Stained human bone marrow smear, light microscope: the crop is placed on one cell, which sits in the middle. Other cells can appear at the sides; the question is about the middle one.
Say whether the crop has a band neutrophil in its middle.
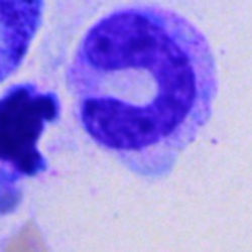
yes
